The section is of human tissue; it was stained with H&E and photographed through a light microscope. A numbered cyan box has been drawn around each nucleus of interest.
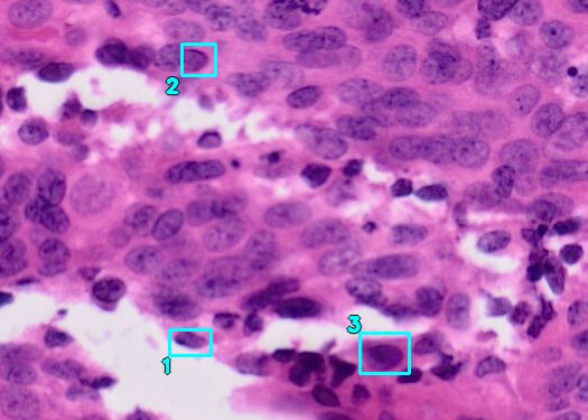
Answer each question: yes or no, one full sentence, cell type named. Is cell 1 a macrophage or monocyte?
Yes, the cell referred to as number 1 is a macrophage or monocyte.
